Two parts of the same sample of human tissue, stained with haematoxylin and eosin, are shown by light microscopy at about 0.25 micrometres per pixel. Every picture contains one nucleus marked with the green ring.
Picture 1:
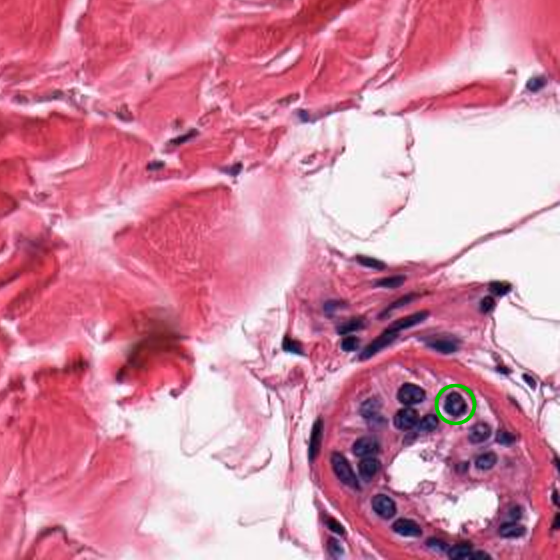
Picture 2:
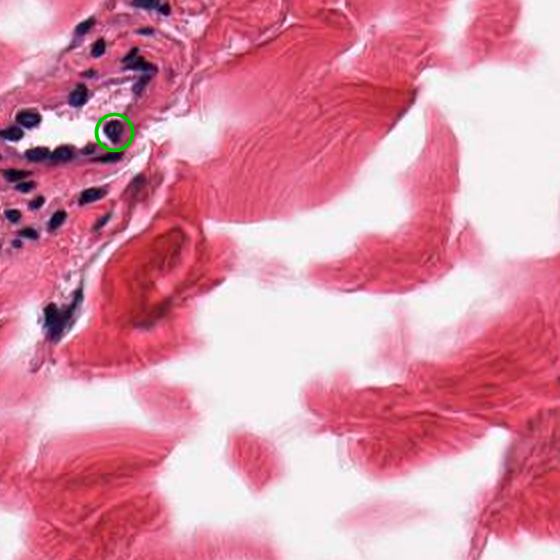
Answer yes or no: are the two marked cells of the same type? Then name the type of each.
No, the first is a sweat gland cell and the second an endothelial cell.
